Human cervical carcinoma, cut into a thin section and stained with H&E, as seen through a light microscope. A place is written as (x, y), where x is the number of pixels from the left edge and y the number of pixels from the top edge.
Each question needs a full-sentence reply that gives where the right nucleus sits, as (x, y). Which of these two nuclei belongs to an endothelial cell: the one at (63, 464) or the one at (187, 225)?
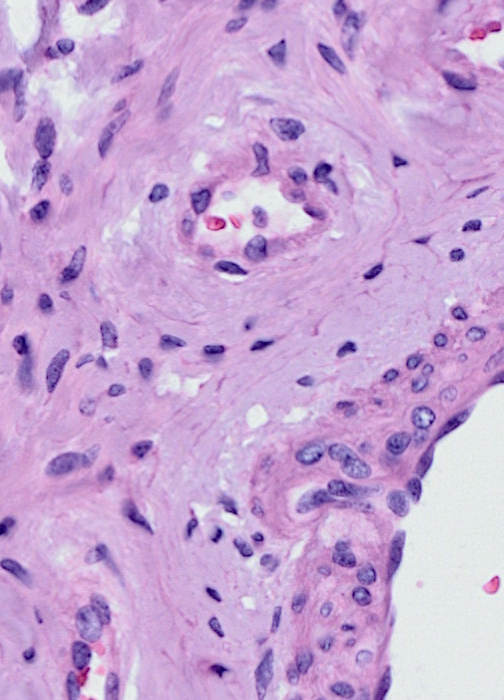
Among the two, the nucleus at (187, 225) is the nucleus of an endothelial cell.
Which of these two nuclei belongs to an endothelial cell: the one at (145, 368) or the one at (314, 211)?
The nucleus positioned at (314, 211) forms part of an endothelial cell.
